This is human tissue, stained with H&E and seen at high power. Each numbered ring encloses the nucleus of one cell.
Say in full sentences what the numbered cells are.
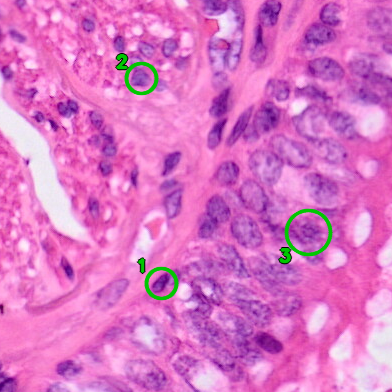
Cell 1 is a ciliated epithelial cell, cell 2 is a smooth muscle cell or pericyte and cell 3 is a ciliated epithelial cell.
